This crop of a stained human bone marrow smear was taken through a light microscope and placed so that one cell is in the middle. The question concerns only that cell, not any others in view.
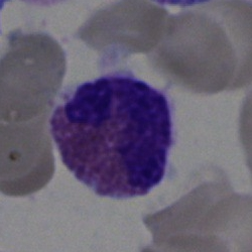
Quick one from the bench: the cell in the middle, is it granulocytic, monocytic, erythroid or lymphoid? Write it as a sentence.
Lineage result for the cell in the middle of the crop: granulocytic.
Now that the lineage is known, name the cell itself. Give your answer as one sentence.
The identification for the central cell is an eosinophil.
